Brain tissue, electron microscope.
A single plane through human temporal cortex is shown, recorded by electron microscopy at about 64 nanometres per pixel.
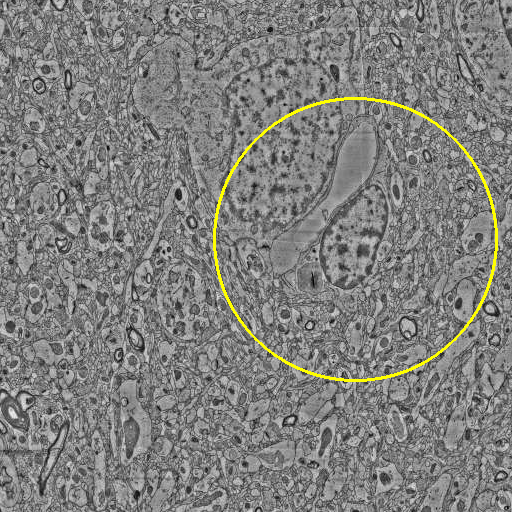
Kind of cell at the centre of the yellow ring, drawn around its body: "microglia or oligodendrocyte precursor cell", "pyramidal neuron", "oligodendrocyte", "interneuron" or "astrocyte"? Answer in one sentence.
The ring's centre falls on a microglial cell or oligodendrocyte precursor cell.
